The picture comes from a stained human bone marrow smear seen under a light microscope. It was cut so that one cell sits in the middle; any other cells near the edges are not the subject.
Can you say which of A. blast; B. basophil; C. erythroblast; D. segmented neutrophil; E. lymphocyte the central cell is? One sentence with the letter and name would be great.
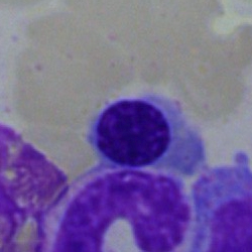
The cell right in the middle is an erythroblast, so option C is the one.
